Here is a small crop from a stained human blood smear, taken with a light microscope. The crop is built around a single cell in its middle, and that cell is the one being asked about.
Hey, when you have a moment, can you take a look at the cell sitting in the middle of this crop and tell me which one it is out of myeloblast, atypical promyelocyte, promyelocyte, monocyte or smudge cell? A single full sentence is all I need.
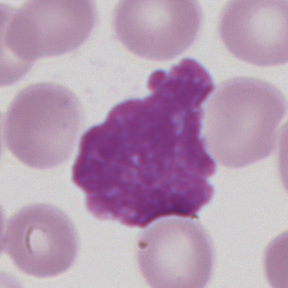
The cell centered in this field of view is a smudge cell.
